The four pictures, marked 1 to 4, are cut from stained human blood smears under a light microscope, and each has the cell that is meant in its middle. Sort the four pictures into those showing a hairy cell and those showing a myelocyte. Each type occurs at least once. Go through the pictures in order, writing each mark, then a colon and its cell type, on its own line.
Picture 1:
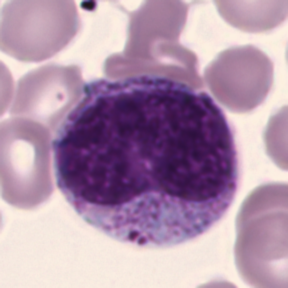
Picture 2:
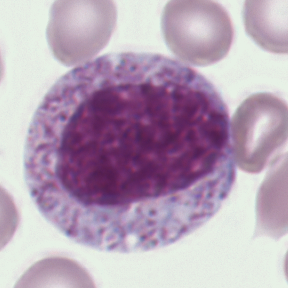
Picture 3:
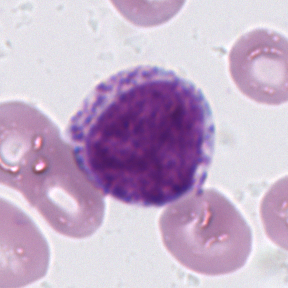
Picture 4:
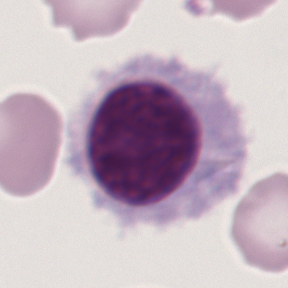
1: myelocyte
2: myelocyte
3: myelocyte
4: hairy cell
